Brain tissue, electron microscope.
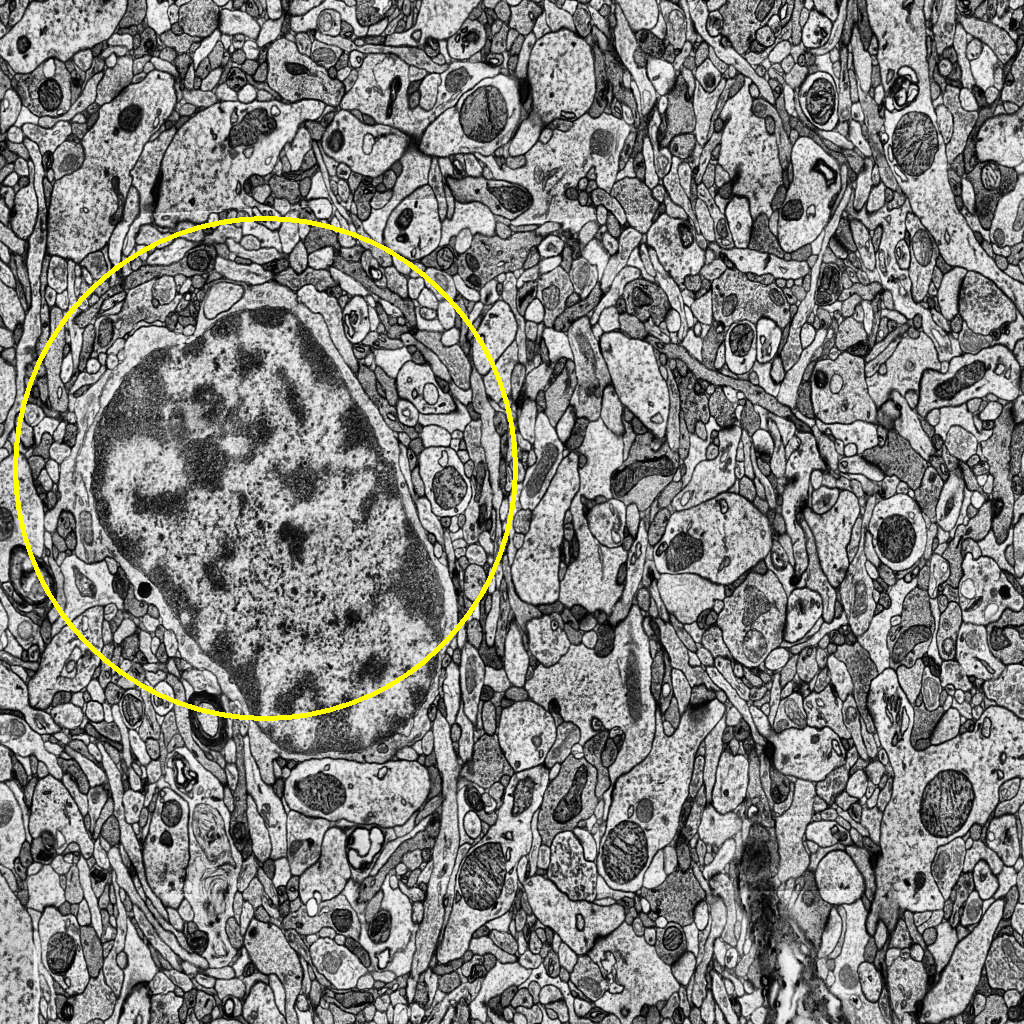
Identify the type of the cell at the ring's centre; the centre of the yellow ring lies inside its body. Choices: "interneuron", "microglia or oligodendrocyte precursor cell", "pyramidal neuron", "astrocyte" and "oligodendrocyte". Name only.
microglia or oligodendrocyte precursor cell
